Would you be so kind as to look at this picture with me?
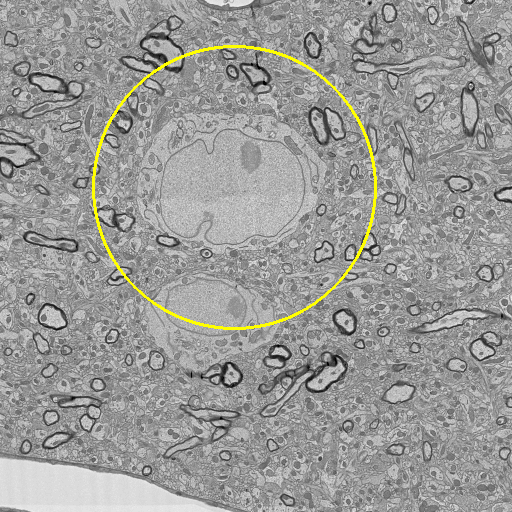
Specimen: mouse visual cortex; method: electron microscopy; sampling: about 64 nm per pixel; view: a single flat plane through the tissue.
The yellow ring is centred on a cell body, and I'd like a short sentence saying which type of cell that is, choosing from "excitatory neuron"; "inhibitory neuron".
The cell body in the ring belongs to an excitatory neuron.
